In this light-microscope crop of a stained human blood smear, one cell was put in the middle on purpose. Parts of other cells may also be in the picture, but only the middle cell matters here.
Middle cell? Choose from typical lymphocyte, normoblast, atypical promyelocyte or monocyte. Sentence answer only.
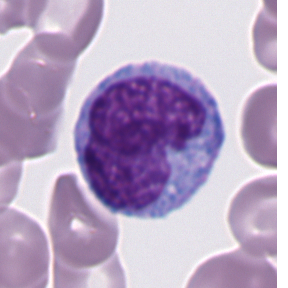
By classification, the middle cell of this crop is a monocyte.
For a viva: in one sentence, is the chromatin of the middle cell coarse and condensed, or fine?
Chromatin texture is fine, and coarse clumps are absent.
